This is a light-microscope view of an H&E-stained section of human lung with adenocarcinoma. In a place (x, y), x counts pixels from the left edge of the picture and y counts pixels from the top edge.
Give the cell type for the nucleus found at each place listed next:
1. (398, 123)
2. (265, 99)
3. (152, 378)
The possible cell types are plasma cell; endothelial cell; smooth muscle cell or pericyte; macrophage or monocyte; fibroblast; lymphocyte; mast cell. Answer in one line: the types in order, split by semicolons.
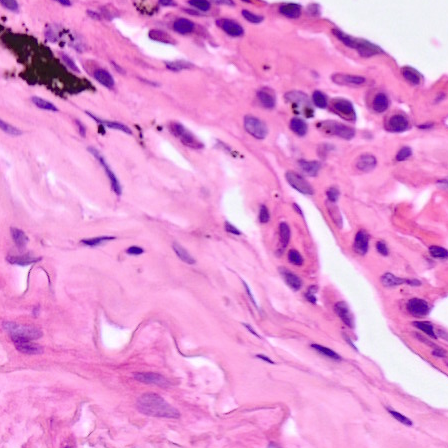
plasma cell; plasma cell; smooth muscle cell or pericyte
